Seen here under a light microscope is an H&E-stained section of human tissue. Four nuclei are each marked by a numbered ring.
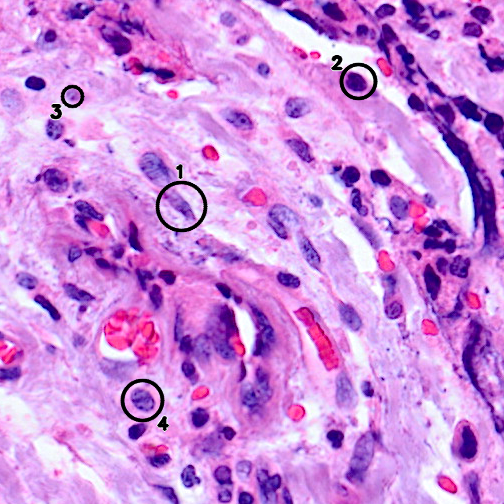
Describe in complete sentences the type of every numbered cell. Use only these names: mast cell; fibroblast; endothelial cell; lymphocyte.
Cell 1 is a fibroblast. Cell 2 is a lymphocyte. Cells 3 and 4 are mast cells.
